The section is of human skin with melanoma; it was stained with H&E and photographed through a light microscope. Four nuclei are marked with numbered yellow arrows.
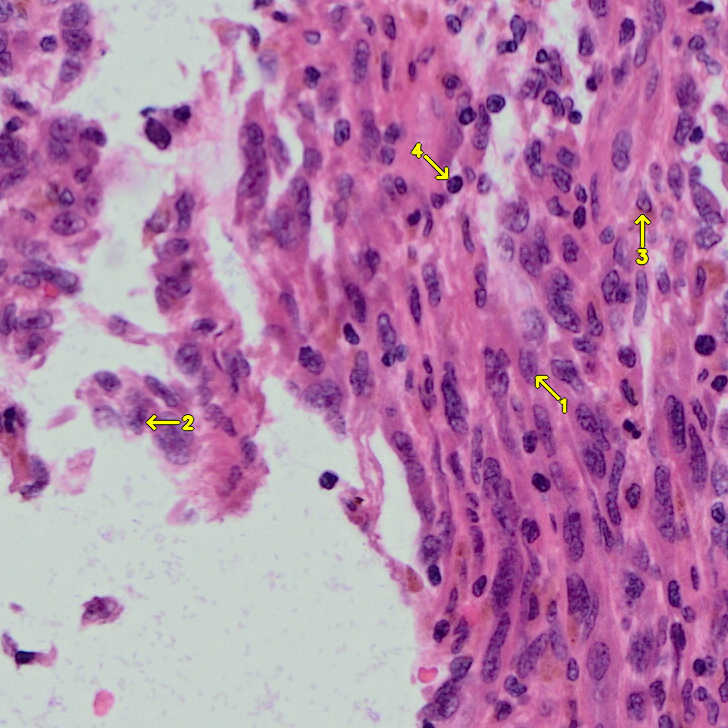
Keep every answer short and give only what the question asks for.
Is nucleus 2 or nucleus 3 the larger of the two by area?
2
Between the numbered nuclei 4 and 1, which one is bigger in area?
1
